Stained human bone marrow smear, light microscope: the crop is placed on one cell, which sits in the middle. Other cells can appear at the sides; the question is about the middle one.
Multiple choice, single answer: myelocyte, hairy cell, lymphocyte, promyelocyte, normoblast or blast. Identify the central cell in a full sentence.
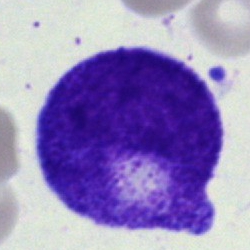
The cell at the central position in this crop is a promyelocyte.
